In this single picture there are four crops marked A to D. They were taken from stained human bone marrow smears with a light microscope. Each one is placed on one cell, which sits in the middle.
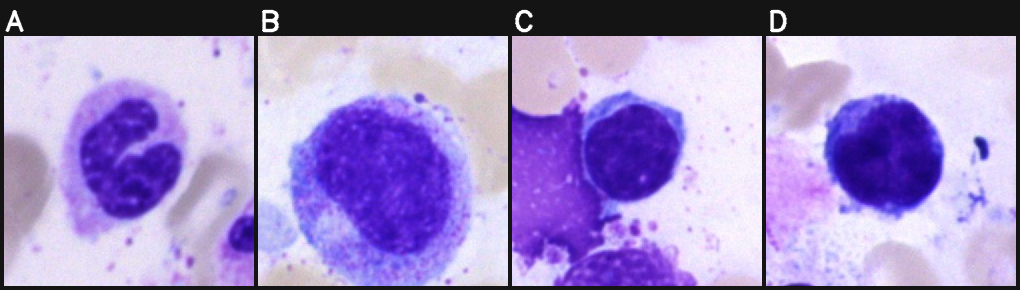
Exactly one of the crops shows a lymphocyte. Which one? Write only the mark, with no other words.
C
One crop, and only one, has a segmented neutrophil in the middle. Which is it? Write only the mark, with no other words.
A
